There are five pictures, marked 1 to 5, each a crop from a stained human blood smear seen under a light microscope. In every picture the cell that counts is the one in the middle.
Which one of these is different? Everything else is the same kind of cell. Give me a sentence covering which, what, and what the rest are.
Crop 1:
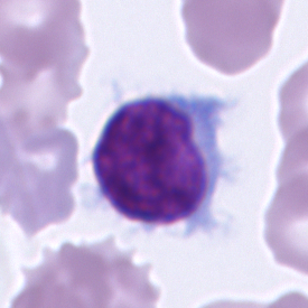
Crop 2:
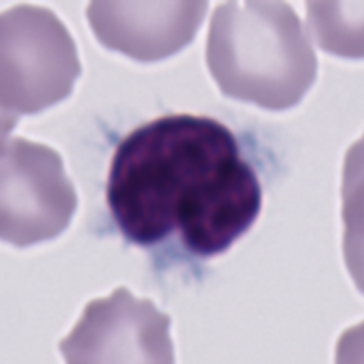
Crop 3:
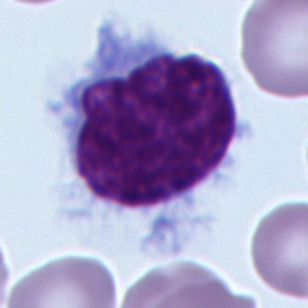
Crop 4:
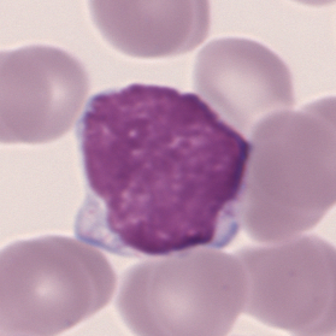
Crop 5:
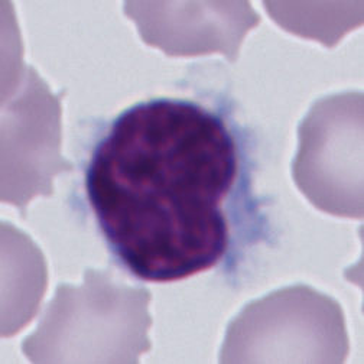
Crop 4 is singled out as a large granular lymphocyte, and all of the other crops show hairy cells.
